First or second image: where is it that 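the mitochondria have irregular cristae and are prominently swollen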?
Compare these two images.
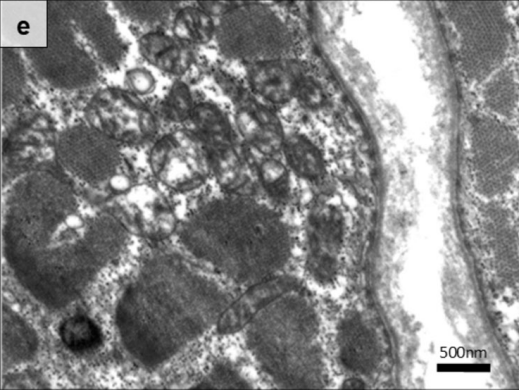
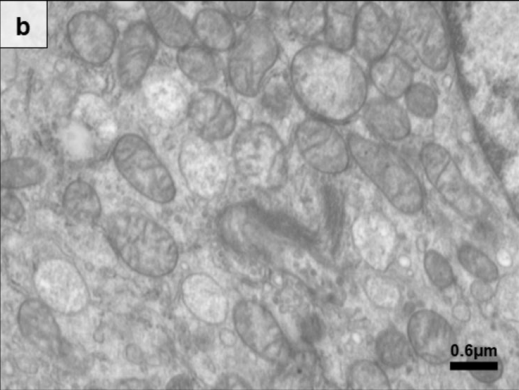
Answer: the first image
